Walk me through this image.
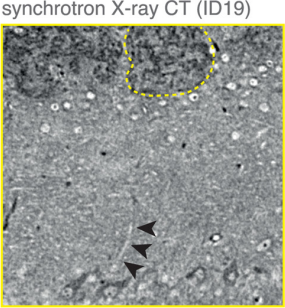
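This greyscale tomographic slice of olfactory bulb runs from the glomerular layer at the top through the external plexiform layer down to the mitral cell layer. At the top, rounded glomeruli appear as darker, coarsely granular patches, one of them outlined by a dashed line. Below, the external plexiform layer is a fairly even, finely textured grey neuropil scattered with small round bright profiles with dark centres.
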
